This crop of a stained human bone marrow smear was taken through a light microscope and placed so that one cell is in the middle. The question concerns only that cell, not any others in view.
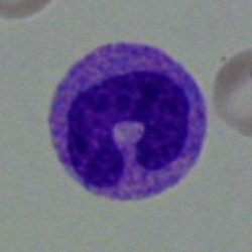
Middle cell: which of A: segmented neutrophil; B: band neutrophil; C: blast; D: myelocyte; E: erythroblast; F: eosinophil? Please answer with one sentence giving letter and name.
Option B is the correct option, with the middle cell being a band neutrophil.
